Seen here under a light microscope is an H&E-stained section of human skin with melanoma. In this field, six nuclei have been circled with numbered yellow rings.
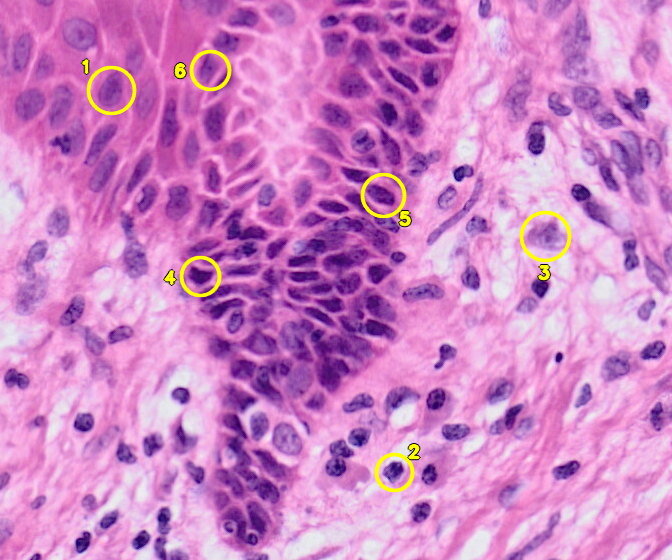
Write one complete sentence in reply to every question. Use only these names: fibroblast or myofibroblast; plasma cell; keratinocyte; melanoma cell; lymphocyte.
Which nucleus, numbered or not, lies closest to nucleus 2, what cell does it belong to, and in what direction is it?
Lying to the right of nucleus 2, the nearest nucleus is that of a plasma cell.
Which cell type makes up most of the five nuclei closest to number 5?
Around number 5, most of the five nearest nuclei are those of keratinocytes.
